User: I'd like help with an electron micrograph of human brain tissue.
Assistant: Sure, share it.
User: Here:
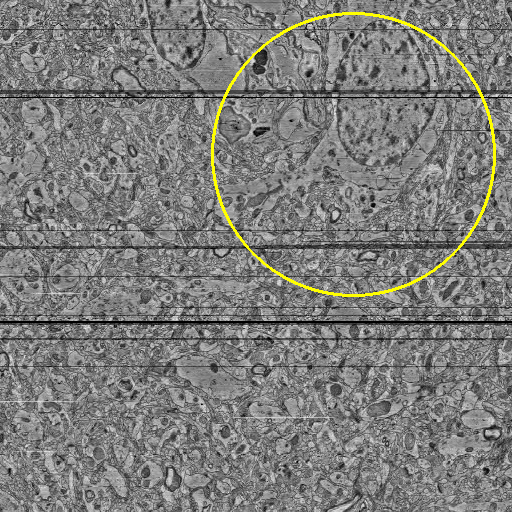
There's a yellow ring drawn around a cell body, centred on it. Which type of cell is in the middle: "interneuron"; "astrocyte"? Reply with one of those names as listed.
astrocyte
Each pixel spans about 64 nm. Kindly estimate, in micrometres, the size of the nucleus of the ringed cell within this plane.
The nucleus measures about 10 by 6 micrometres in this plane.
